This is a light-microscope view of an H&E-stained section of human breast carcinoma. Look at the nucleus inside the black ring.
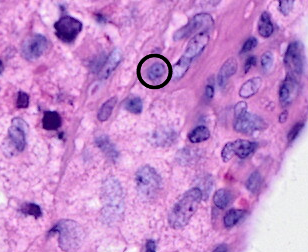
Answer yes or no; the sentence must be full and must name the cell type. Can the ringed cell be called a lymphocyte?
No, the ringed cell is an endothelial cell instead of a lymphocyte.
